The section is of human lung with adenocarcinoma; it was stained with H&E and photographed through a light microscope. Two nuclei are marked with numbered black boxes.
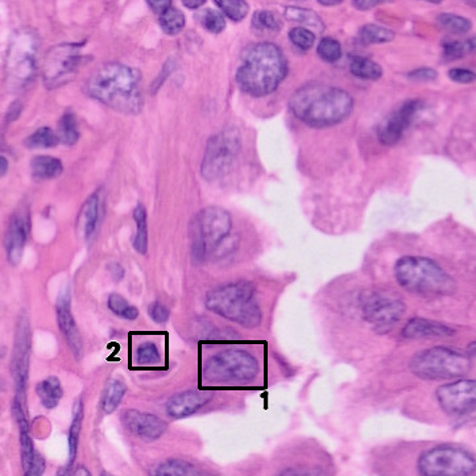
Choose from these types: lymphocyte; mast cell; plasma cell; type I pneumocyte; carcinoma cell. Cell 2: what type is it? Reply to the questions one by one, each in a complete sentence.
Cell 2 of the marked set is a lymphocyte.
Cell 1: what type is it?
The cell assigned the number 1 is a carcinoma cell.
